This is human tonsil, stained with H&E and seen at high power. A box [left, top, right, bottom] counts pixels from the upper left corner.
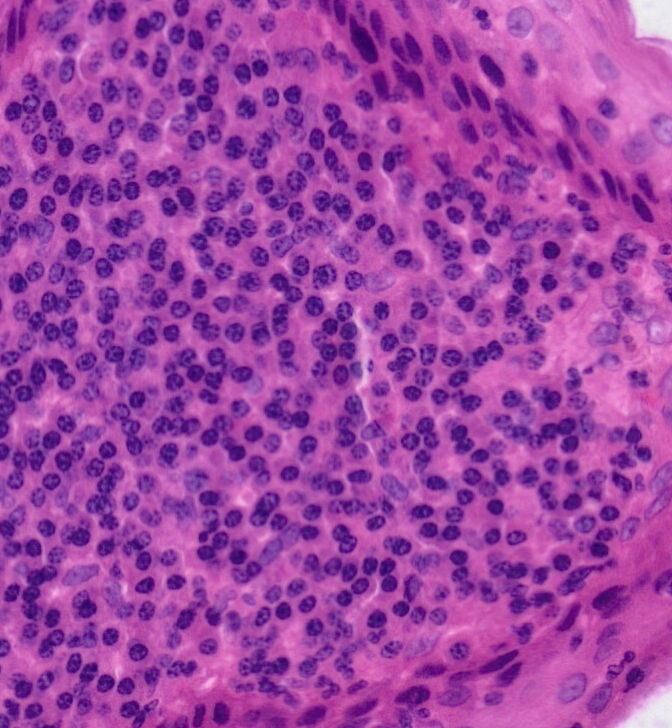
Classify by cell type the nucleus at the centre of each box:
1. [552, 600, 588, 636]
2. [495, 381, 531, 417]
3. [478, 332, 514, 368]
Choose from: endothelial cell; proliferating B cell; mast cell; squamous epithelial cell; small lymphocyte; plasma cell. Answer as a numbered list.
1. squamous epithelial cell
2. plasma cell
3. plasma cell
